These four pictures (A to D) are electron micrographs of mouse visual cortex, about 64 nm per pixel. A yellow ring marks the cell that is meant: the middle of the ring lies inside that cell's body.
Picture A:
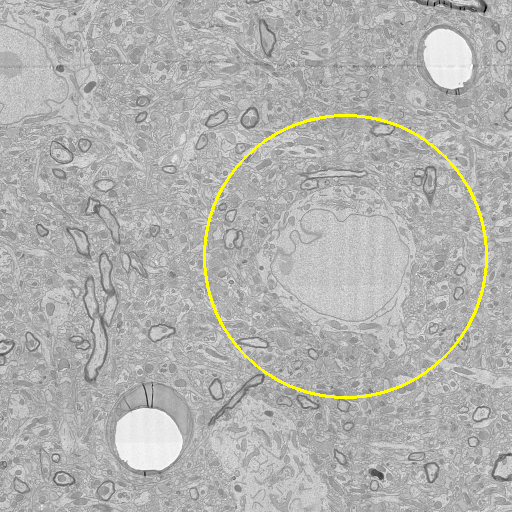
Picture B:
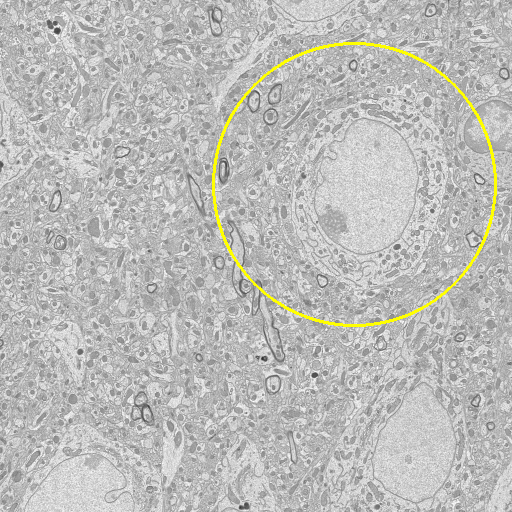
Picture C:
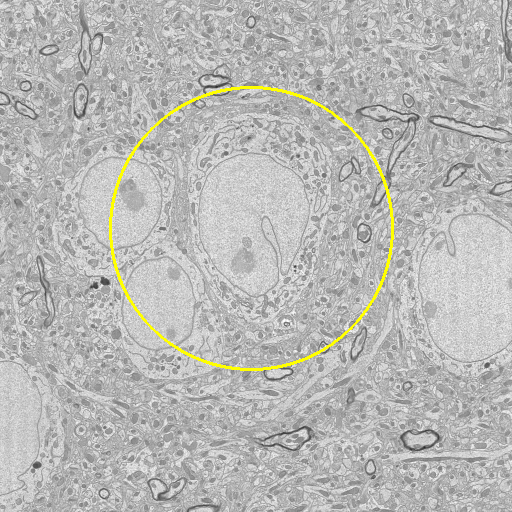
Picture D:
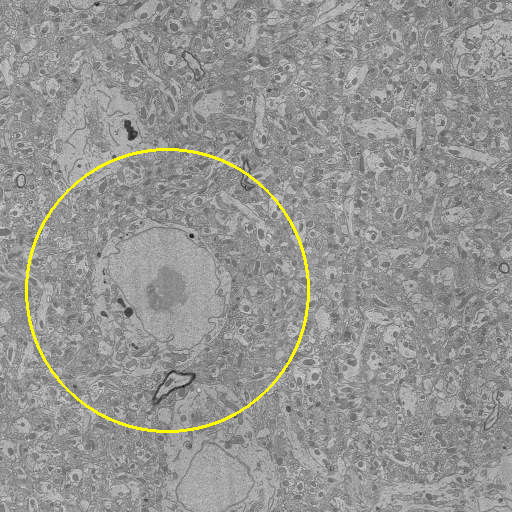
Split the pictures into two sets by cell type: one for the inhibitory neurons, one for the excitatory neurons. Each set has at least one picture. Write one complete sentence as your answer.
Pictures B, C and D show inhibitory neurons; picture A shows an excitatory neuron.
